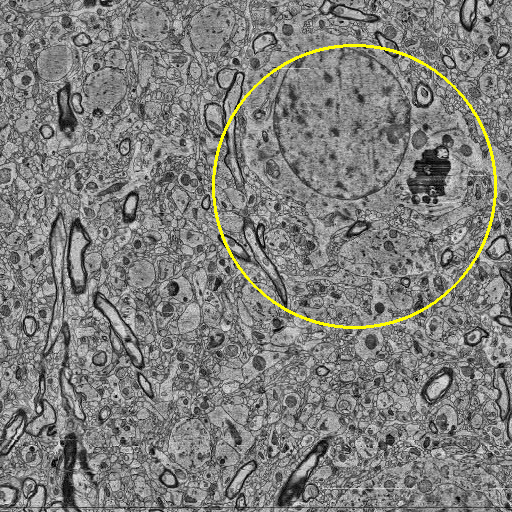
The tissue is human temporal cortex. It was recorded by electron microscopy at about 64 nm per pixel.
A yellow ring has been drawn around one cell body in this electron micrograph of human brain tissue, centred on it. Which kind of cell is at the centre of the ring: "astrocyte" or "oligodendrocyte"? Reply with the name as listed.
astrocyte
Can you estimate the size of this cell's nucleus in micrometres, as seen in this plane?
In this plane the nucleus is about 10 micrometres by 9.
